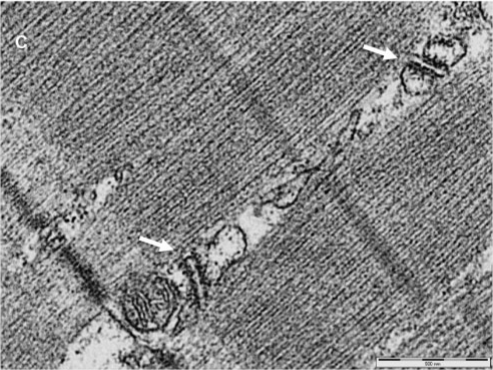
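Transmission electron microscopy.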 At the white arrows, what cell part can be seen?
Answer: triads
